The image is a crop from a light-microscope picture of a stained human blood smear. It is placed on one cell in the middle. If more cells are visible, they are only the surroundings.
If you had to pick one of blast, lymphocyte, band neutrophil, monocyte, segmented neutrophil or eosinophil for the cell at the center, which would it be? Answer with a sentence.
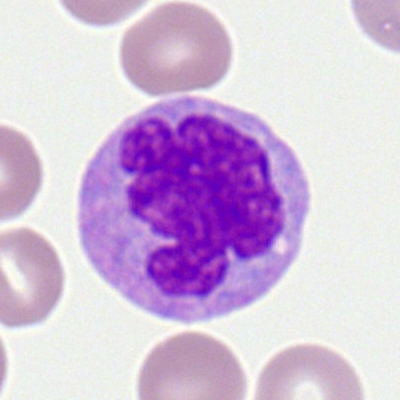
Among the cells in view, the one in the middle is a monocyte.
